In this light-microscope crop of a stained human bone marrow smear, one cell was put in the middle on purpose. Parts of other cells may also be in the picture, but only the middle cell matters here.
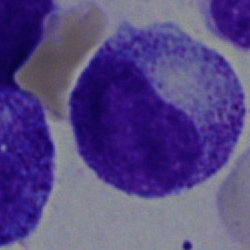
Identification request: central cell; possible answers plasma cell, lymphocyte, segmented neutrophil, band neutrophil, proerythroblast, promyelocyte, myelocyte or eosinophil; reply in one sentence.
Standing at the centre of this crop is a myelocyte.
